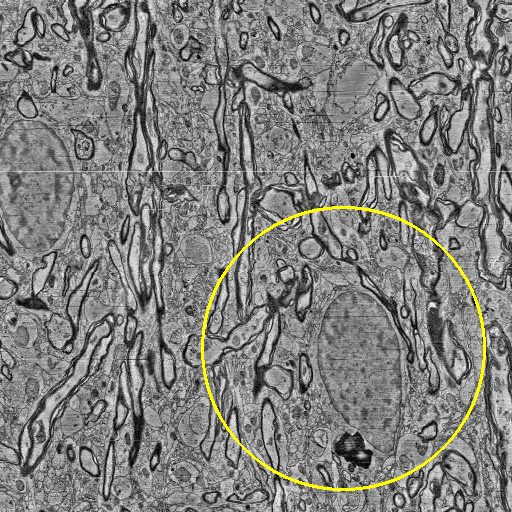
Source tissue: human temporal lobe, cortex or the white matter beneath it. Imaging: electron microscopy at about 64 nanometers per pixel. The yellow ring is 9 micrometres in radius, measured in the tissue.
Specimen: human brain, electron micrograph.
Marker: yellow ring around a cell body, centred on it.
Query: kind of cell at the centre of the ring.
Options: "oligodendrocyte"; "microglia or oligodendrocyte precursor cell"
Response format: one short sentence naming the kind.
This cell body belongs to an oligodendrocyte.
